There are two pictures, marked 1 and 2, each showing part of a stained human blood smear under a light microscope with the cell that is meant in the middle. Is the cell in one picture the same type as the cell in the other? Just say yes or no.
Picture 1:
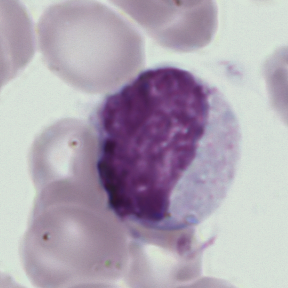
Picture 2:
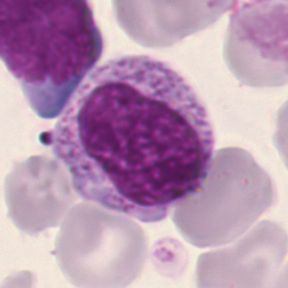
yes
